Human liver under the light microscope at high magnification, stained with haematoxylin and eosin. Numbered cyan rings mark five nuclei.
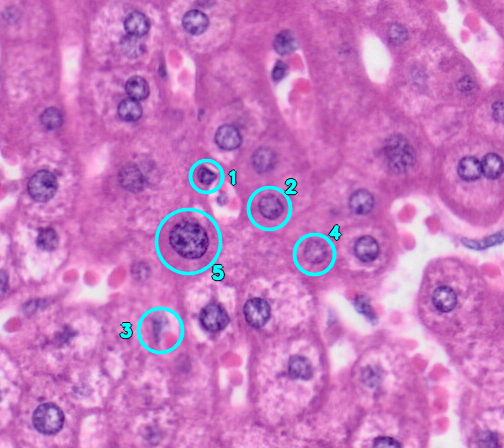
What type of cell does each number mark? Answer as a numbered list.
1. fibroblast or stellate cell
2. hepatocyte
3. endothelial cell
4. hepatocyte
5. hepatocyte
